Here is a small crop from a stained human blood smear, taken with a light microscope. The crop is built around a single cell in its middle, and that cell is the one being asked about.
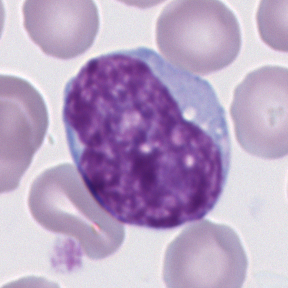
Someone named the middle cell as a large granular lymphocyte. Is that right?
no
